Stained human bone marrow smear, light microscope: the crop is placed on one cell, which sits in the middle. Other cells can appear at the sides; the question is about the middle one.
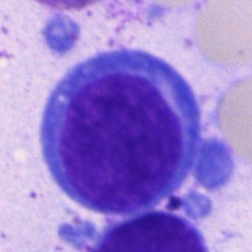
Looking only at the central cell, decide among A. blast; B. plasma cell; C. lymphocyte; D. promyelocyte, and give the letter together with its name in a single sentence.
The cell in the middle is a blast, and that makes option A correct.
